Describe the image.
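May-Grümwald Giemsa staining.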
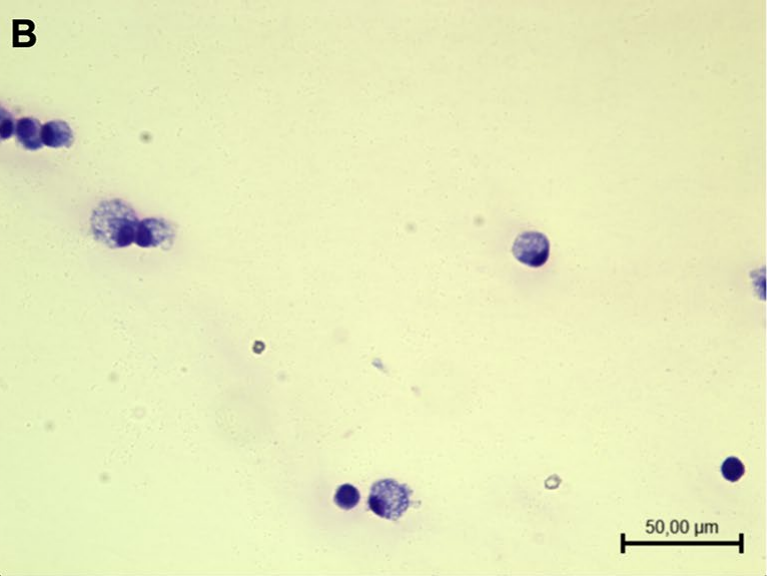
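Scattered across a pale, almost clean background are small round cells and somewhat larger ones. The small cells are little more than a dense, dark blue-purple round nucleus with a thin rim of cytoplasm. The larger cells have a dark nucleus pushed to one side and pale, finely vacuolated, foamy cytoplasm with slightly frayed borders; several of these lie in pairs or short rows, some beside the small dark cells. The small round cells with dense nuclei and scant cytoplasm are mature lymphocytes, the foamy ones macrophages, on a background with little protein material.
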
